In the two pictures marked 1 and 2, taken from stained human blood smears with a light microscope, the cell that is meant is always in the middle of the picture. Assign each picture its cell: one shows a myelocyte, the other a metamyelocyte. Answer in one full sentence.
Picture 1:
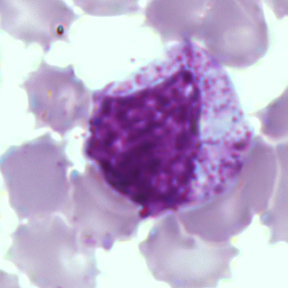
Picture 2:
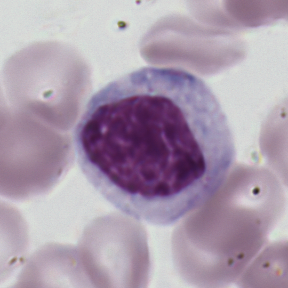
Picture 1 shows a myelocyte and picture 2 shows a metamyelocyte.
